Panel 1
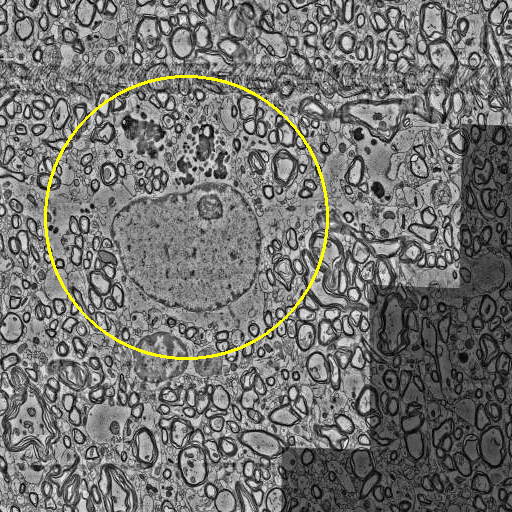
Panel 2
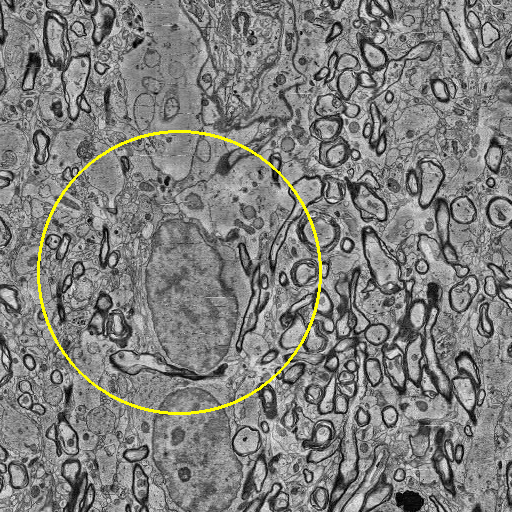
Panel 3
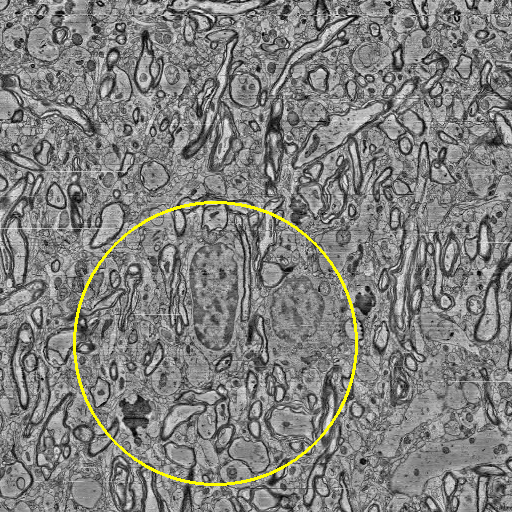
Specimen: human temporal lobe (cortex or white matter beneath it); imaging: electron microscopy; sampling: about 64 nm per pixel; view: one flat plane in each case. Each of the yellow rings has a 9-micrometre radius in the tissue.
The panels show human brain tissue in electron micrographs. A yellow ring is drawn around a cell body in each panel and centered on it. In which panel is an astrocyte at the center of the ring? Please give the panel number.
1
